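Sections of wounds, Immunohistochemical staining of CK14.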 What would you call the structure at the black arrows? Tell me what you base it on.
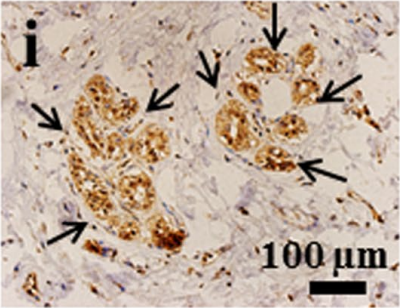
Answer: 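The arrows point at small round tubular profiles grouped in two clusters. Each profile is a ring of strongly brown-stained epithelial cells around a small lumen. The clusters lie within pale, loose connective tissue.
Answer: sweat gland-like structures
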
